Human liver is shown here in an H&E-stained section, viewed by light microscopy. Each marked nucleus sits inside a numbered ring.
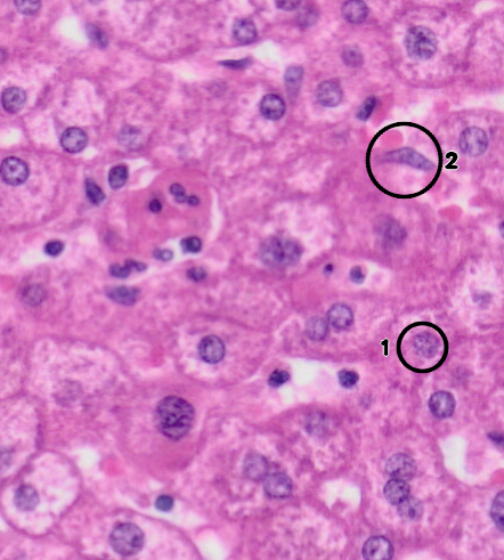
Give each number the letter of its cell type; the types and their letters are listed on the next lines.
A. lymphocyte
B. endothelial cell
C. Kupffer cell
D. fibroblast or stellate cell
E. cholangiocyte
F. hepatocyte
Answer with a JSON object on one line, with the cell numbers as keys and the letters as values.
{"1": "F", "2": "C"}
